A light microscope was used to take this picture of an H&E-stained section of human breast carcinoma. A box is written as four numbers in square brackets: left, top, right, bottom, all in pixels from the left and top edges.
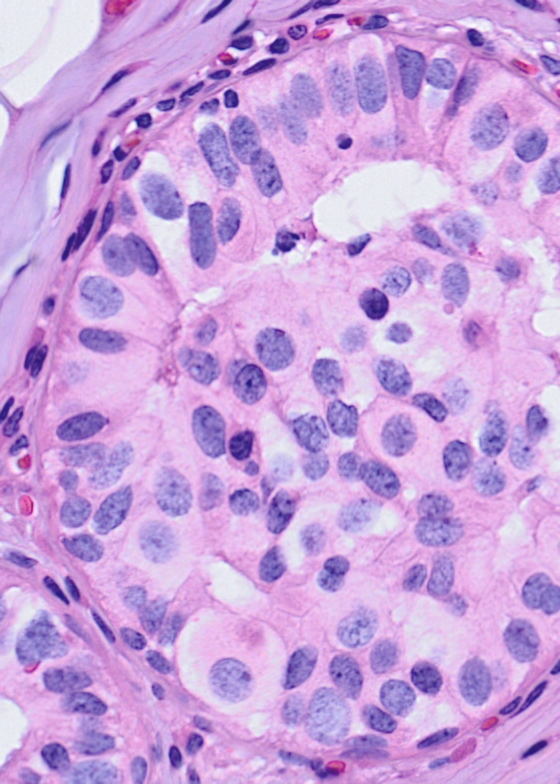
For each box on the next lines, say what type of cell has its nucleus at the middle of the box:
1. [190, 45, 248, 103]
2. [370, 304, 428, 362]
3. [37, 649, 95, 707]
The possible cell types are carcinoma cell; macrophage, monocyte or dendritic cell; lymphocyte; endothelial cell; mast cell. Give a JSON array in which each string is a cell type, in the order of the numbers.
["endothelial cell", "carcinoma cell", "carcinoma cell"]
